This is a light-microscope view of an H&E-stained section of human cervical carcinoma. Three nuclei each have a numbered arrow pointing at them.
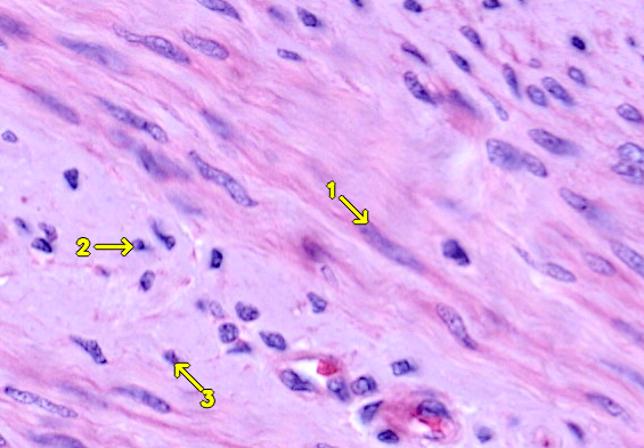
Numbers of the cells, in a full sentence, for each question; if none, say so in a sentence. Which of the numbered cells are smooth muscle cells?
Only the cell with number 1 is a smooth muscle cell.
